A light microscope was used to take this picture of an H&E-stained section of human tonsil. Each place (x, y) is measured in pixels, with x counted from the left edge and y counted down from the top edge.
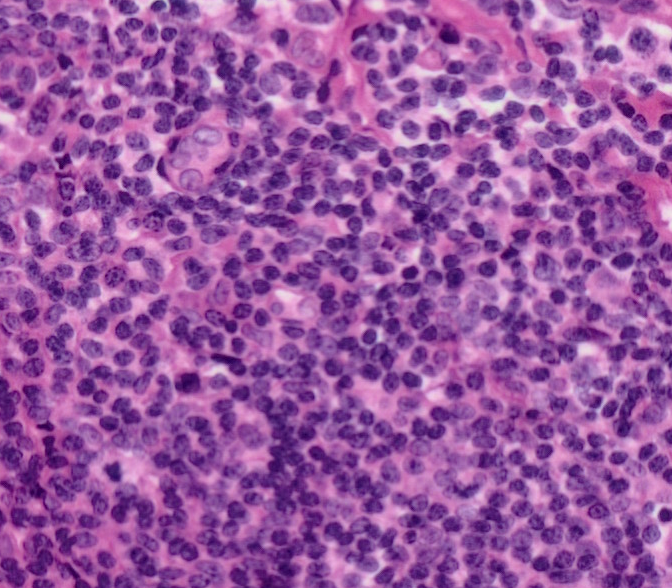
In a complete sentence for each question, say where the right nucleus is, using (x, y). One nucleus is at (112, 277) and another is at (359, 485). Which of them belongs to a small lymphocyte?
Of the two nuclei, the nucleus of a small lymphocyte is at (359, 485).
